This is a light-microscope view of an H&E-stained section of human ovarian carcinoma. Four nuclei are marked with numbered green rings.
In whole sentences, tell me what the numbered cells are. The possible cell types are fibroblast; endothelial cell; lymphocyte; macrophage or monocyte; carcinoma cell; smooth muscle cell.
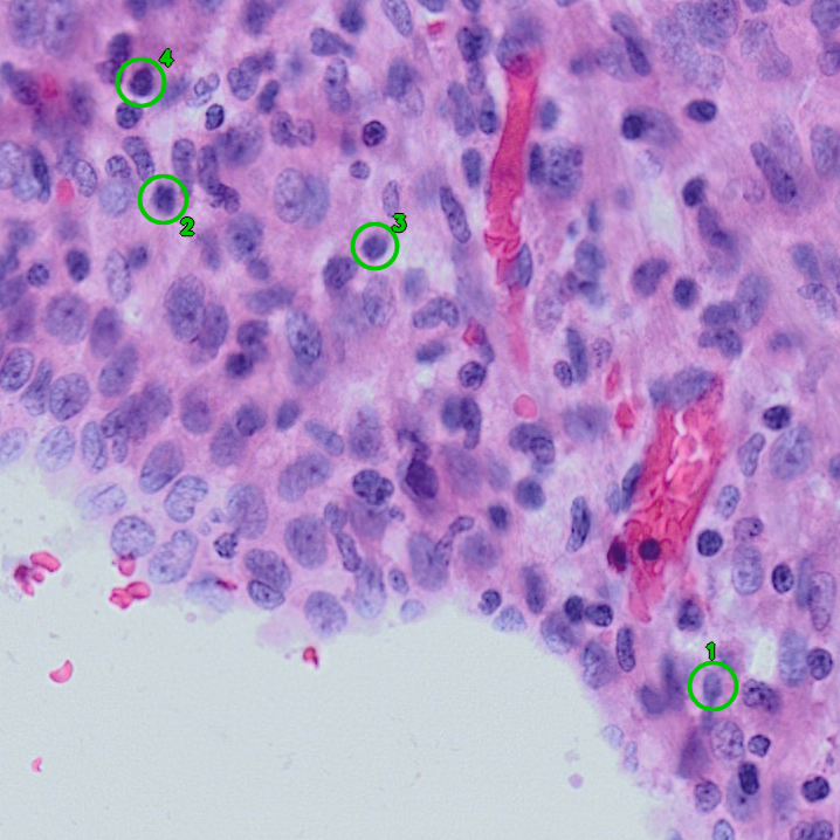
Cell 1 is a macrophage or monocyte, cell 2 is a lymphocyte, cell 3 is a lymphocyte and cell 4 is a lymphocyte.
